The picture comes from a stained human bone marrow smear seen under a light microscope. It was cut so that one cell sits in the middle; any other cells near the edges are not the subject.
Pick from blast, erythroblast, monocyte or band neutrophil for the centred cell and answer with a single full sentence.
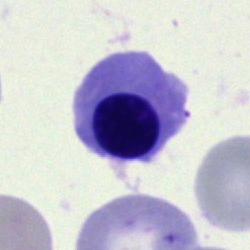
Of the cells in this crop, the central one is an erythroblast.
